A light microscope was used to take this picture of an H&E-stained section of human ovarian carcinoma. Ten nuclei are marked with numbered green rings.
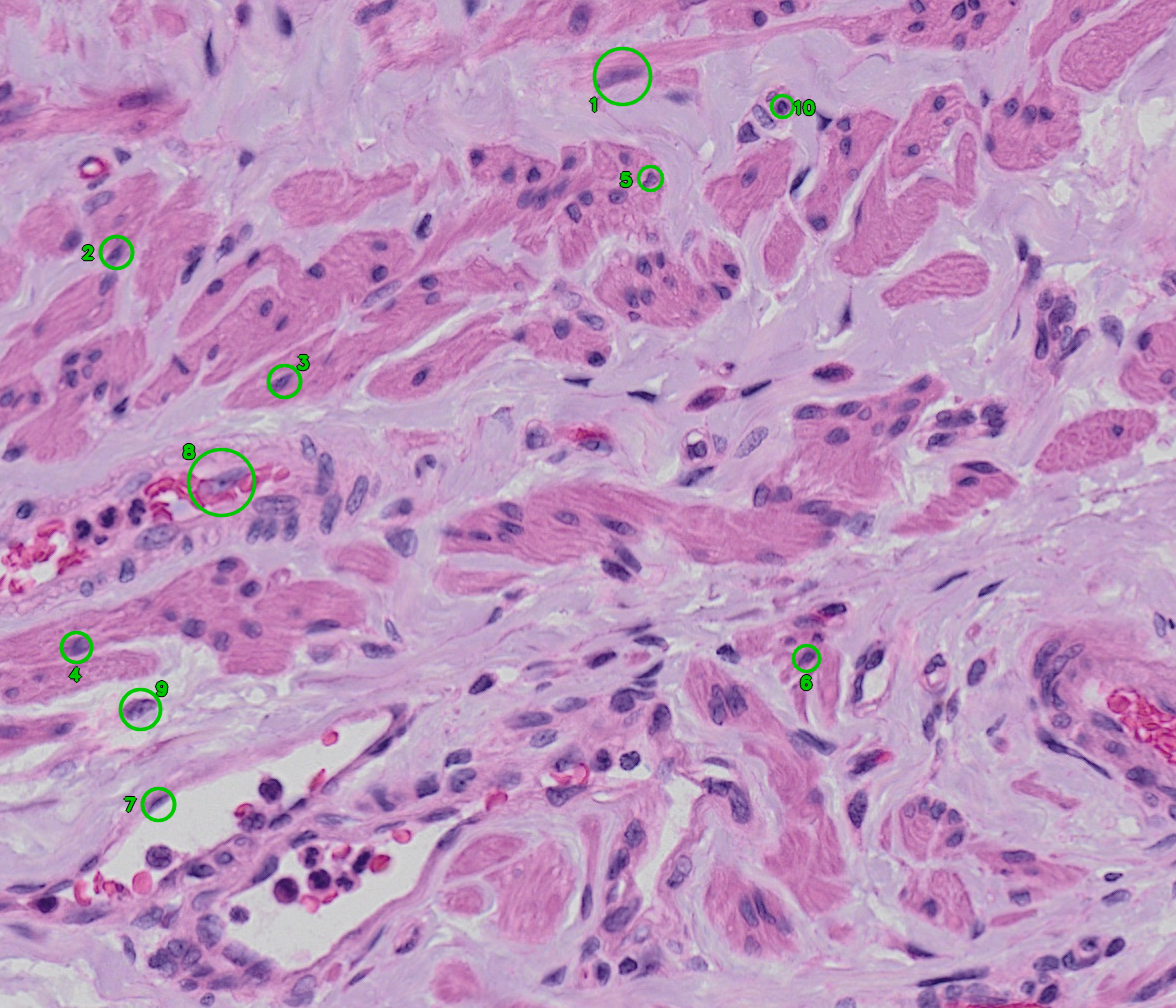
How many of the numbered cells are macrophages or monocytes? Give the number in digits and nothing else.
0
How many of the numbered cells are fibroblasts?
1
